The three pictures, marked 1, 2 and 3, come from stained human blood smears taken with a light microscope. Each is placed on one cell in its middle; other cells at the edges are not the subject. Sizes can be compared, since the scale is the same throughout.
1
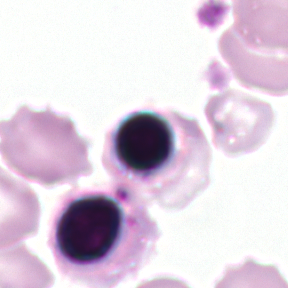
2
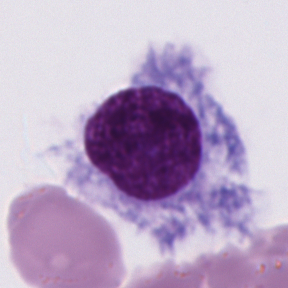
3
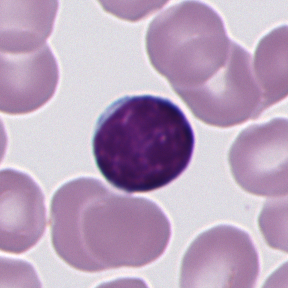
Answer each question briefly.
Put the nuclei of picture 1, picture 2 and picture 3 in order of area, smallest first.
1, 3, 2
